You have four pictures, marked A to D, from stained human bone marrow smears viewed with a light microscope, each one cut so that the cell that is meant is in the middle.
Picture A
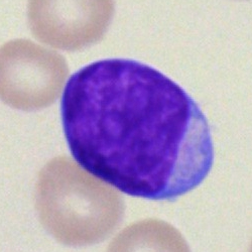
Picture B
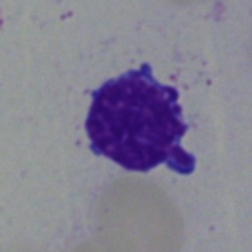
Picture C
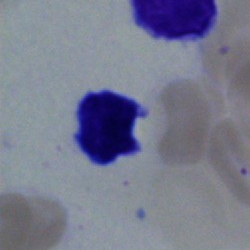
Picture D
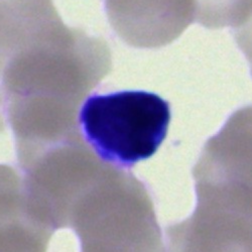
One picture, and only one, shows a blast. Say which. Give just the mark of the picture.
A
